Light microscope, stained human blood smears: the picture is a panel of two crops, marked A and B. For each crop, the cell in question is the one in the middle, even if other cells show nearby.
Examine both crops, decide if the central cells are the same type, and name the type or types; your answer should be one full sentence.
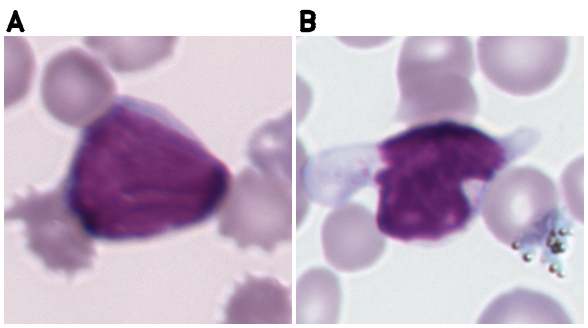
No, in crop A the cell is a blast, and in crop B it is a large granular lymphocyte.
